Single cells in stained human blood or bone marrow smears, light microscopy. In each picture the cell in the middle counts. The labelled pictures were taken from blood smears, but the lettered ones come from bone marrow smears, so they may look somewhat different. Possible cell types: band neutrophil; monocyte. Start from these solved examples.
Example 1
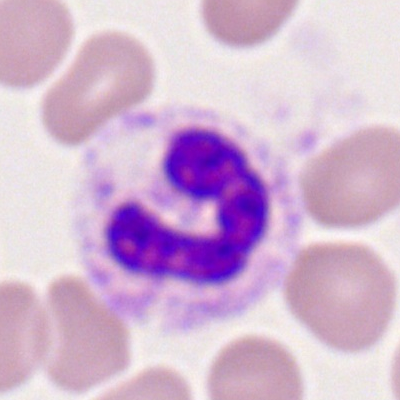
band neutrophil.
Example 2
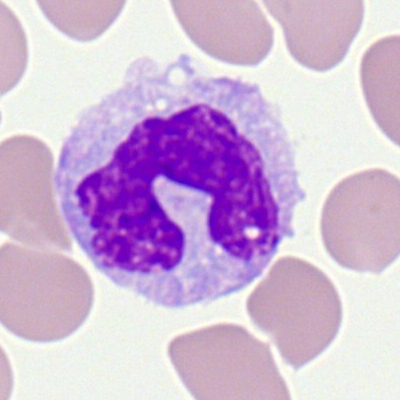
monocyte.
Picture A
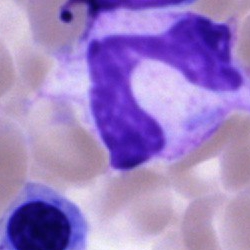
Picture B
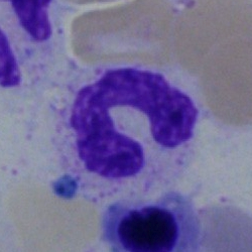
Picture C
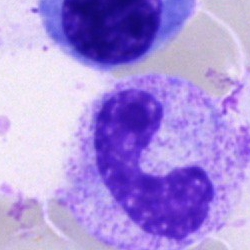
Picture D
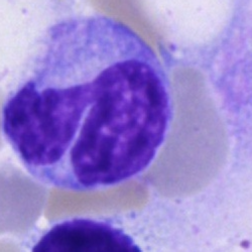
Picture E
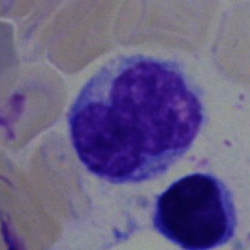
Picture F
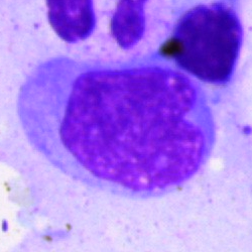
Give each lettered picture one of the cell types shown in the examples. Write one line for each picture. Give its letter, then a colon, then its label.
A: band neutrophil.
B: band neutrophil.
C: band neutrophil.
D: monocyte.
E: monocyte.
F: monocyte.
